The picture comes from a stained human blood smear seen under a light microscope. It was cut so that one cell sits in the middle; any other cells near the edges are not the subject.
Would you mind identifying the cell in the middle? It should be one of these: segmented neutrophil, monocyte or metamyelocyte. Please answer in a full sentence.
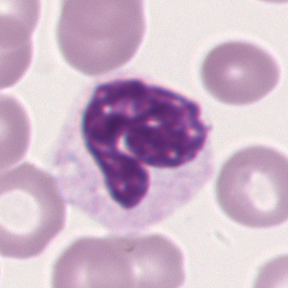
Looking at the middle of the crop, the cell there is a segmented neutrophil.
